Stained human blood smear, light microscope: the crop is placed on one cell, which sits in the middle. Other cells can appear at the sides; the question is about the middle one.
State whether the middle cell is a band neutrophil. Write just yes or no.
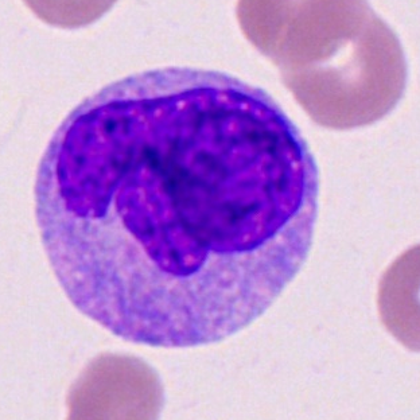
no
